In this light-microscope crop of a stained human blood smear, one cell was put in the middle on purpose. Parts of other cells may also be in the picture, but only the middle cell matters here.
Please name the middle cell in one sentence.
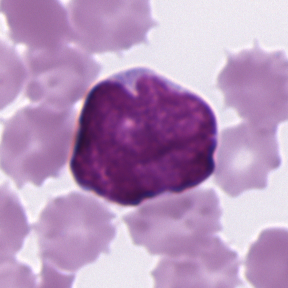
The middle cell in this particular crop is a myeloblast.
